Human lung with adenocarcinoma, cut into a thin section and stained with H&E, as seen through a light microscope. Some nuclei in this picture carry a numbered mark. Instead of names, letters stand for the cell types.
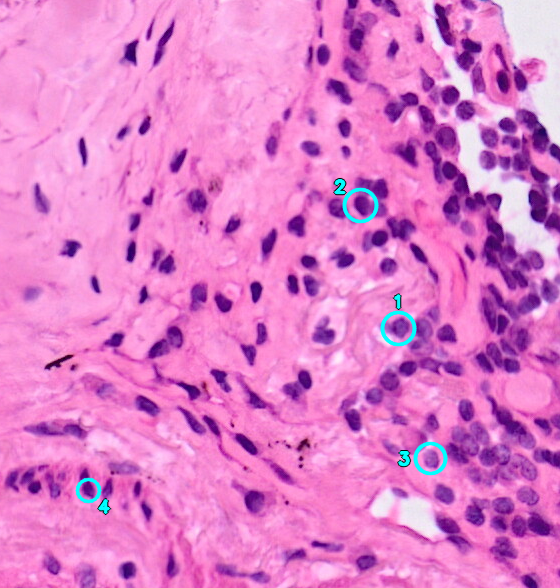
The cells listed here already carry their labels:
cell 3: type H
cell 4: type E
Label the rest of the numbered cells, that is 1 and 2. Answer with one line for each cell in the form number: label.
1: type H
2: type H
